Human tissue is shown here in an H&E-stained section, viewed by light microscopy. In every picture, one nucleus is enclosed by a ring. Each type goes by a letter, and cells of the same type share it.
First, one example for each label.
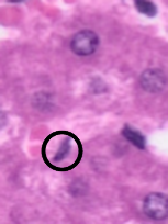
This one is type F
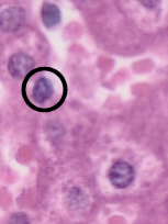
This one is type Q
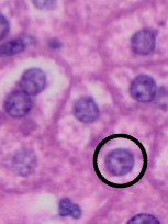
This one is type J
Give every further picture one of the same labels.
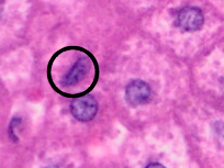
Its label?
type Q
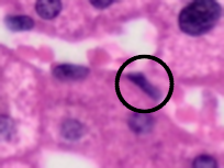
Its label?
type Q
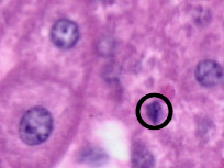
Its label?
type Q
